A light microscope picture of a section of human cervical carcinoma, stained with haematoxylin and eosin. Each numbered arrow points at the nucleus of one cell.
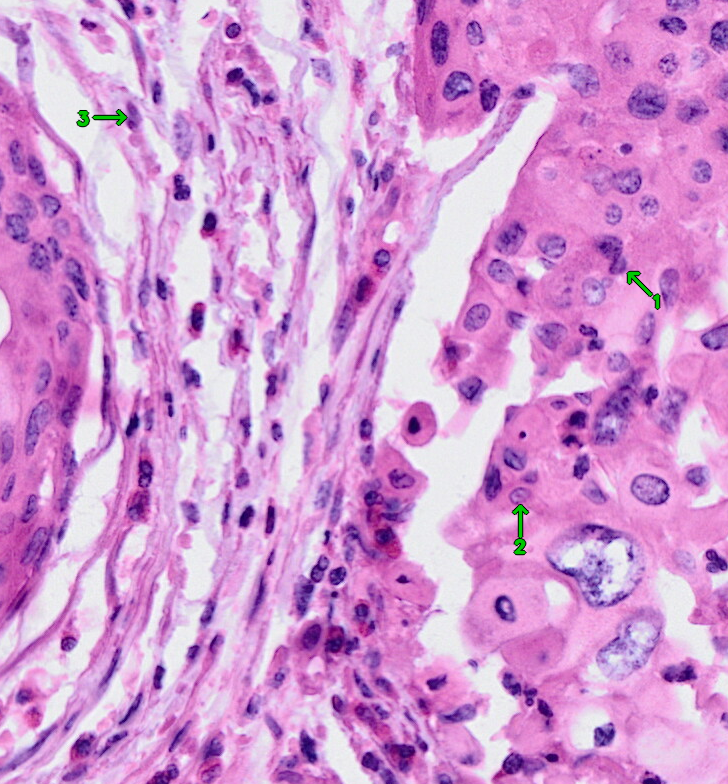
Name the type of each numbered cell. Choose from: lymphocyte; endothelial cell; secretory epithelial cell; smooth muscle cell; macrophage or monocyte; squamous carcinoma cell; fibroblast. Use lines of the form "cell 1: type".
cell 1: squamous carcinoma cell
cell 2: squamous carcinoma cell
cell 3: fibroblast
